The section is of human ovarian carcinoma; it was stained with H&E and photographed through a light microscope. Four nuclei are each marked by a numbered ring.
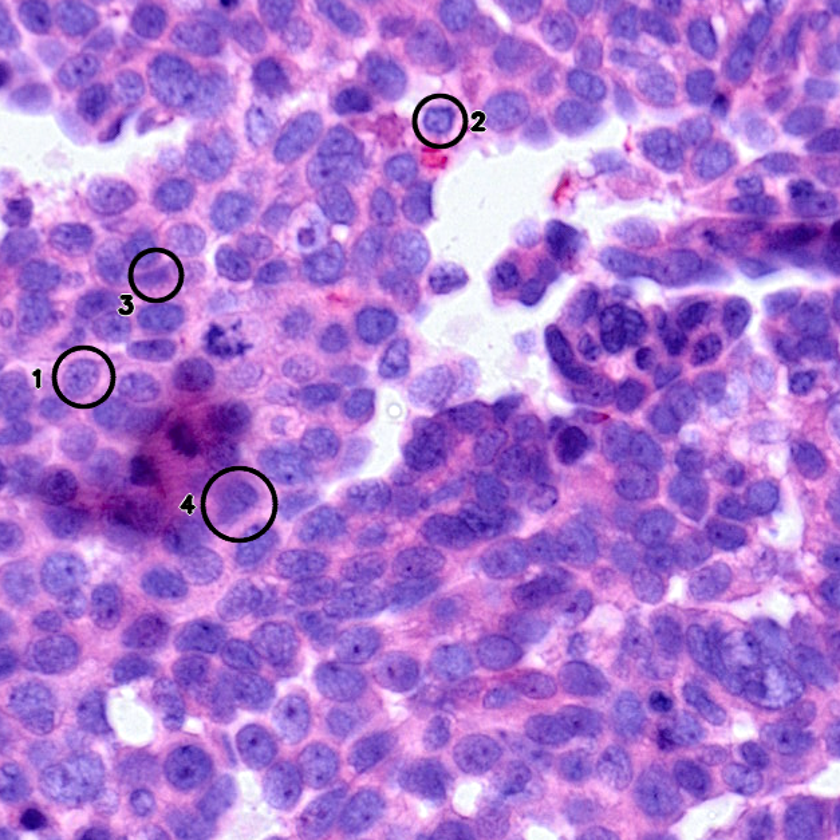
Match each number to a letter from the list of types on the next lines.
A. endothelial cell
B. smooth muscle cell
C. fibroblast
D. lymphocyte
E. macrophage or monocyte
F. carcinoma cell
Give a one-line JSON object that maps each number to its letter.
{"1": "F", "2": "E", "3": "F", "4": "F"}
